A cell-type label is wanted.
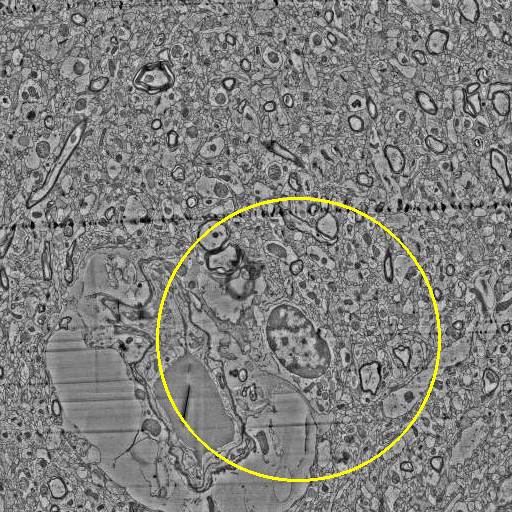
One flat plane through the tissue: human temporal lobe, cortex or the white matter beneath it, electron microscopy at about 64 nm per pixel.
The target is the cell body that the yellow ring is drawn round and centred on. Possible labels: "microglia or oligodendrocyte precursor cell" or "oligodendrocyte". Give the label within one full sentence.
Of the labels offered, the cell in the middle of the yellow ring is a microglial cell or oligodendrocyte precursor cell.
